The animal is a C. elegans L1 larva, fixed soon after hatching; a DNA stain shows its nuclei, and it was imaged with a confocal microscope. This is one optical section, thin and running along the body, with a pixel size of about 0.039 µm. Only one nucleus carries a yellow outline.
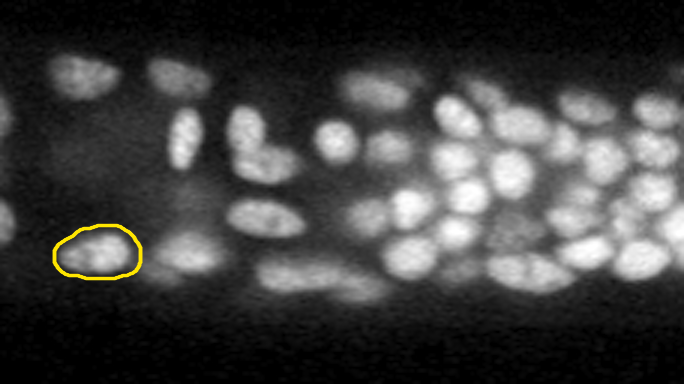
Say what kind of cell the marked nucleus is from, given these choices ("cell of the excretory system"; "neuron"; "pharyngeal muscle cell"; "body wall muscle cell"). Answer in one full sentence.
The nucleus comes from a body wall muscle cell.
